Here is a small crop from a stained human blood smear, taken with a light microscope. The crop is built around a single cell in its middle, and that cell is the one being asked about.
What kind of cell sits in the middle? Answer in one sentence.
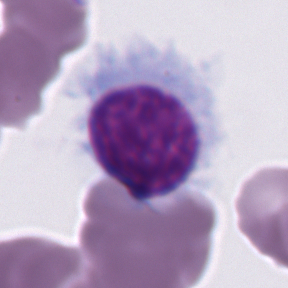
The target cell in the middle of the crop is a hairy cell.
